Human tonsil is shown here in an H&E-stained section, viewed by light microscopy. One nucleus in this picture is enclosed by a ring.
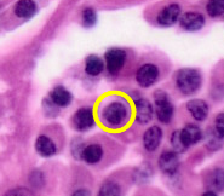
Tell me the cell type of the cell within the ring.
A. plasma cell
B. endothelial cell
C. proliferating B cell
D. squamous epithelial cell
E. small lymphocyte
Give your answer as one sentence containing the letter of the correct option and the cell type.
As the cell within the ring is a plasma cell, the correct choice is option A.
